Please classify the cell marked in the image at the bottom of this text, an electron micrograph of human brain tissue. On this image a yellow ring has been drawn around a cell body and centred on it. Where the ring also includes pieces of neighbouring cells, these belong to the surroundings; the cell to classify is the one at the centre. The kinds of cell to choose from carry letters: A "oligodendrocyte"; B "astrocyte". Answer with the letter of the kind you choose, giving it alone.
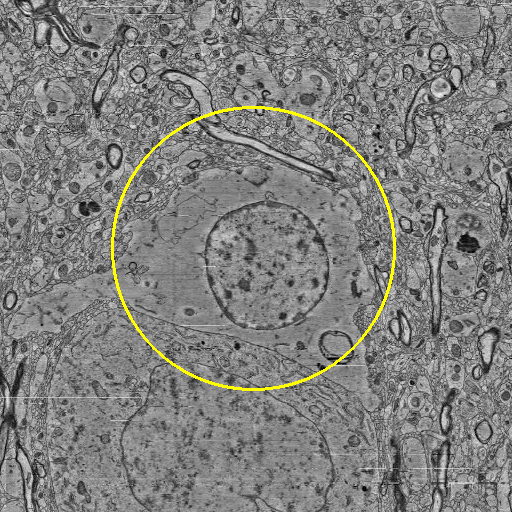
B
